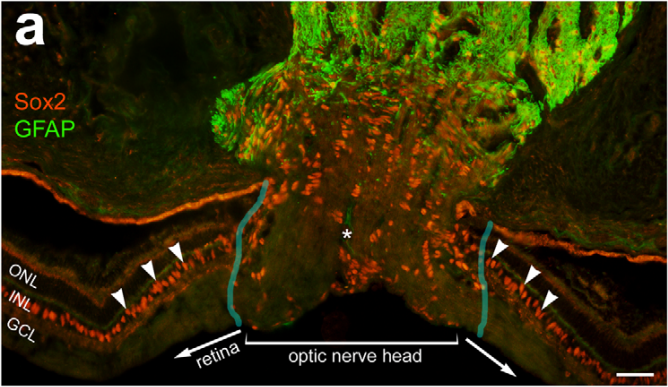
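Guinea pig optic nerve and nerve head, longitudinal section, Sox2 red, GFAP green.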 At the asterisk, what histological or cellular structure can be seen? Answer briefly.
A blood vessel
